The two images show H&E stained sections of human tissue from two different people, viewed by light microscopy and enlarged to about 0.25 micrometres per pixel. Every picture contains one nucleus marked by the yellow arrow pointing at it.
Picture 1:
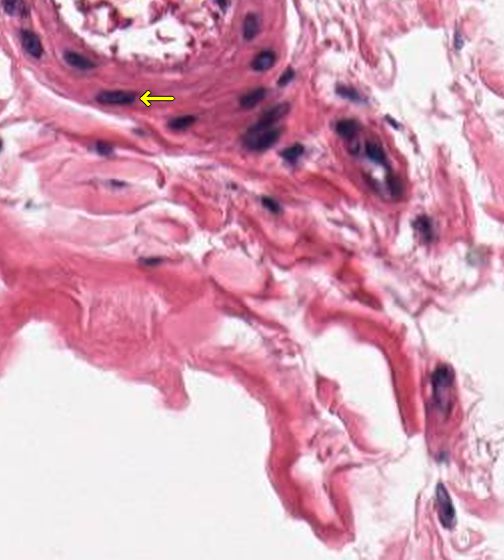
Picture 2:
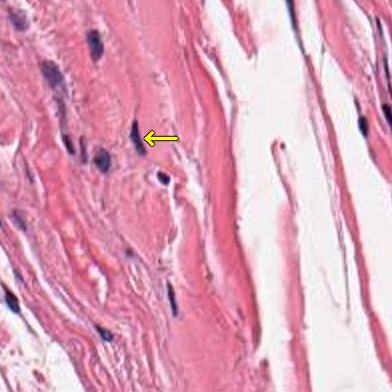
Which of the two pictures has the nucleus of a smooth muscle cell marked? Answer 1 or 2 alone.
1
